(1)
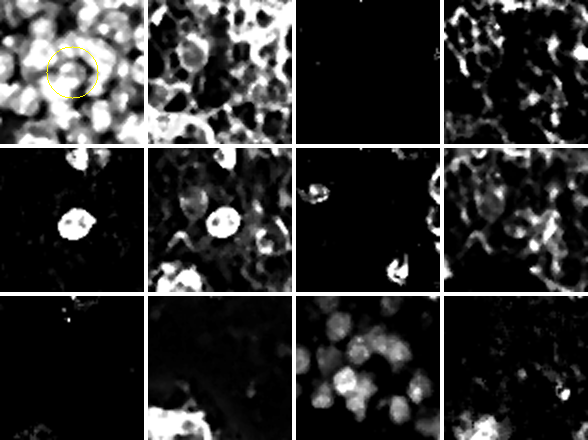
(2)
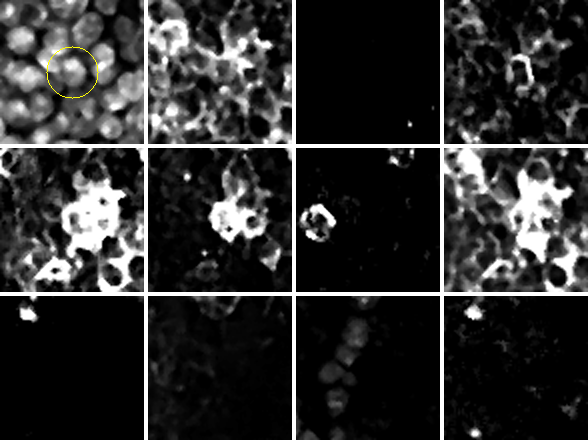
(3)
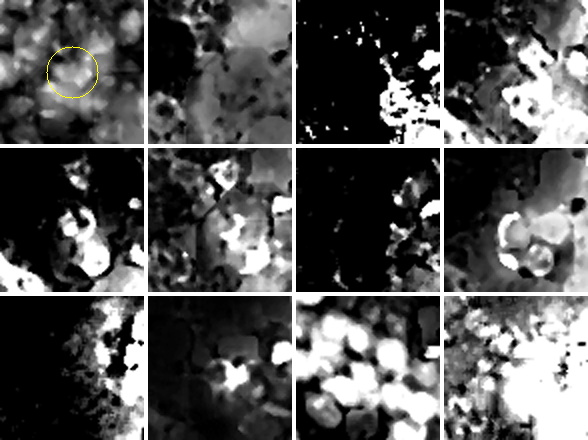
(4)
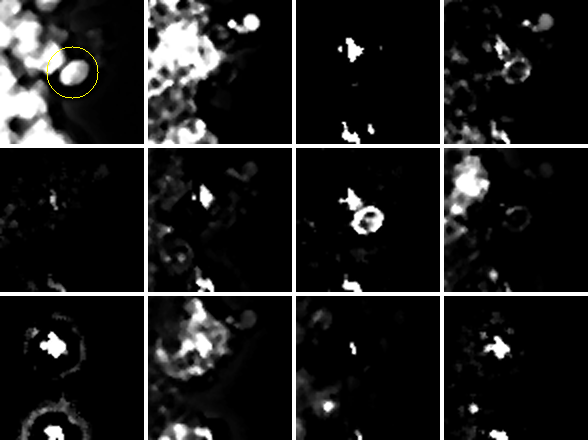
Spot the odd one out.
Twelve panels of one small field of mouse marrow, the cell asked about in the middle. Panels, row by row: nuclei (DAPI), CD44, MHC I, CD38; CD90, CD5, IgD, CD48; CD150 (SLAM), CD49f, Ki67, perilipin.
Picture 4 (a B cell among T cells).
